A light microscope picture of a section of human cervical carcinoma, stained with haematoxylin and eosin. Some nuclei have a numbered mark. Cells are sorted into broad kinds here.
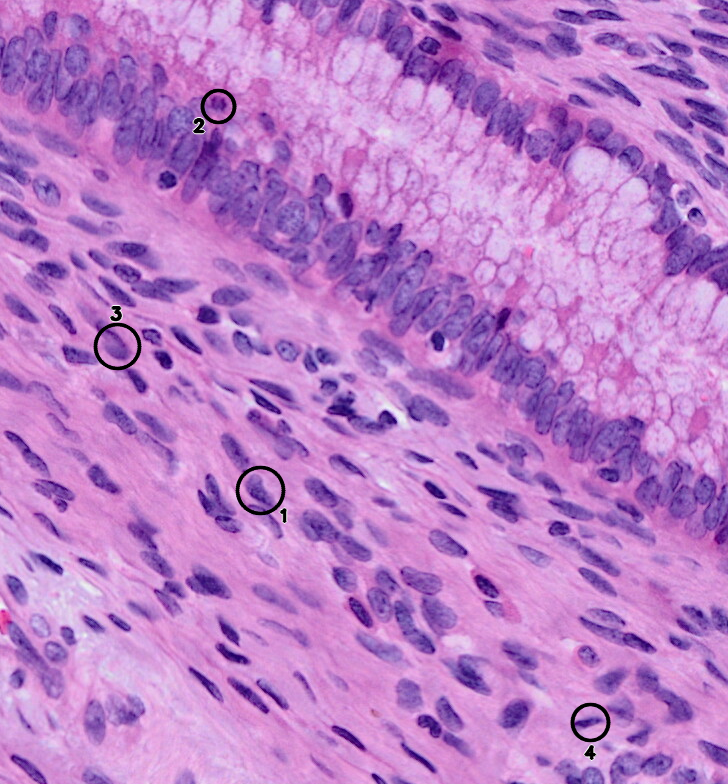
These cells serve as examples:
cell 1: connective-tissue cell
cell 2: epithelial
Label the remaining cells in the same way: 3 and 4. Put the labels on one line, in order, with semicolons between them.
connective-tissue cell; connective-tissue cell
